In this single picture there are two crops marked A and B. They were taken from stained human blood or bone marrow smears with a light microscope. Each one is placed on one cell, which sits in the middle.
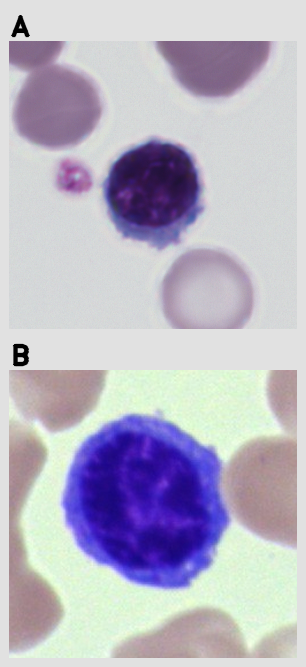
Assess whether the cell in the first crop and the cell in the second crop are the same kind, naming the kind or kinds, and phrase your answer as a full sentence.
Yes, the centred cells are plasma cells in both crops.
